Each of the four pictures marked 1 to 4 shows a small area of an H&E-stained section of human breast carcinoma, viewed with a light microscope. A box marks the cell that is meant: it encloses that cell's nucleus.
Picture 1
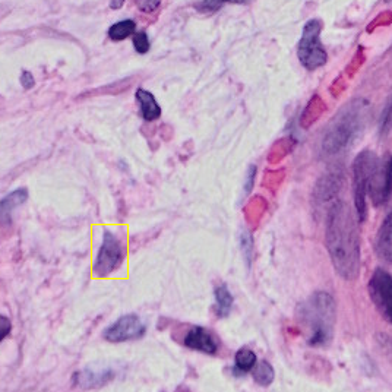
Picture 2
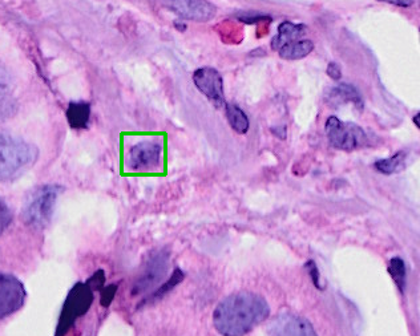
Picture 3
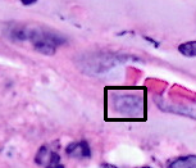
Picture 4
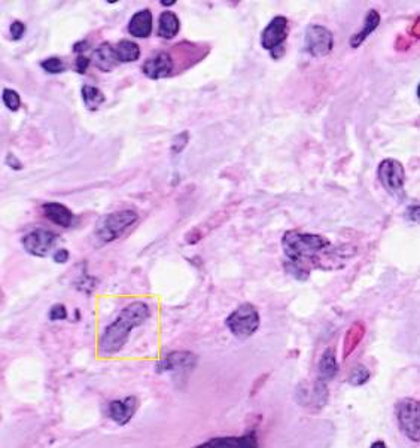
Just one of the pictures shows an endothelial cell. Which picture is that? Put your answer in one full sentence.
Picture 3 is the one that shows the endothelial cell.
